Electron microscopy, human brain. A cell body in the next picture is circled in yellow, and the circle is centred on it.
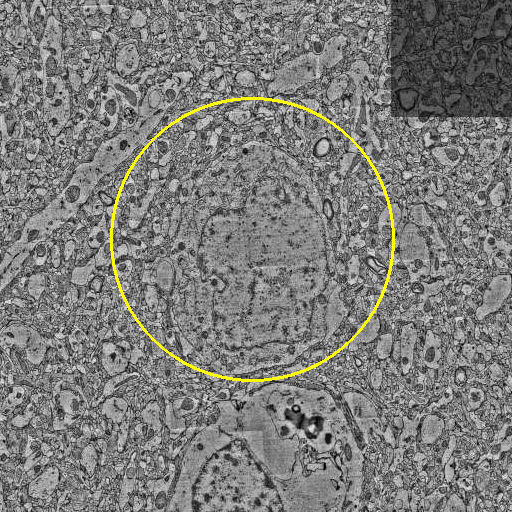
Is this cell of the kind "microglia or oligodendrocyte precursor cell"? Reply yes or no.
no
